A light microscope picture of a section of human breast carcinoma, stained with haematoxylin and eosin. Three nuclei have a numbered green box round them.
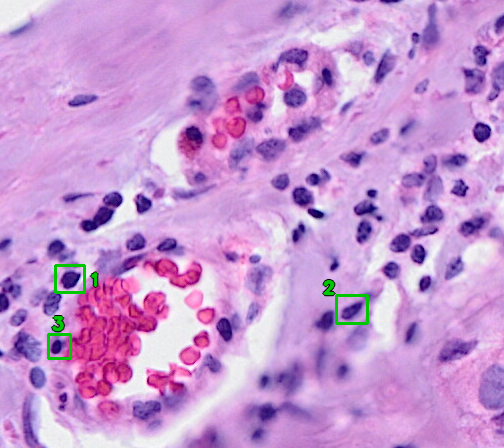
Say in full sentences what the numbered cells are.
Cell 1 is a lymphocyte, cell 2 is a lymphocyte and cell 3 is an endothelial cell.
